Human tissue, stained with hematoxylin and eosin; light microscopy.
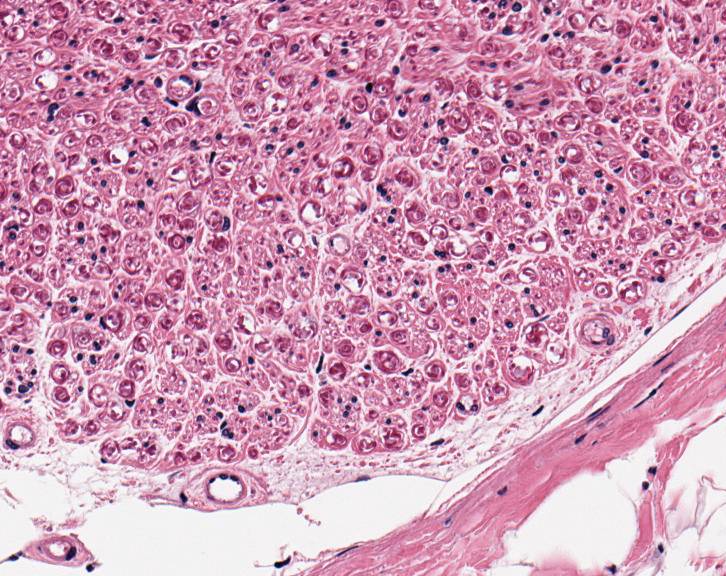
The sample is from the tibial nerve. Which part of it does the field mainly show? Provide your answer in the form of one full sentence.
This section of human tissue shows the part called nerve fascicle.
